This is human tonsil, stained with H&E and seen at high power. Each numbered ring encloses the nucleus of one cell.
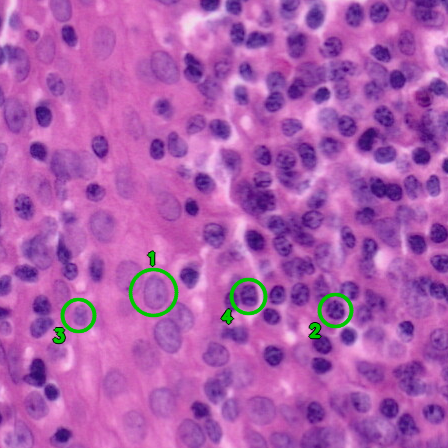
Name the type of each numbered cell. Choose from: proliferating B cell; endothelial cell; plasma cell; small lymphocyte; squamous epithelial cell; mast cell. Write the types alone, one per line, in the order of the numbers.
squamous epithelial cell
plasma cell
squamous epithelial cell
plasma cell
